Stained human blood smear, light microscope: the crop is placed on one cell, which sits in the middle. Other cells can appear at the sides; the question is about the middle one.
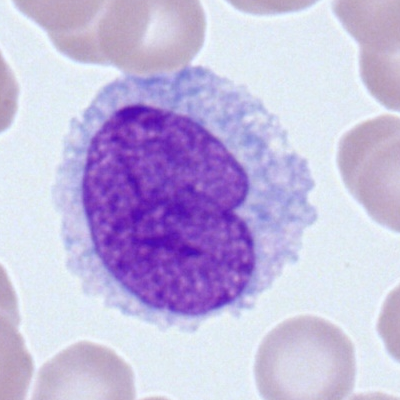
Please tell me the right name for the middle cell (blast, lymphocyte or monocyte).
monocyte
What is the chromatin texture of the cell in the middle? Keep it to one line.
The chromatin remains finely textured, with no coarse clumps to speak of.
